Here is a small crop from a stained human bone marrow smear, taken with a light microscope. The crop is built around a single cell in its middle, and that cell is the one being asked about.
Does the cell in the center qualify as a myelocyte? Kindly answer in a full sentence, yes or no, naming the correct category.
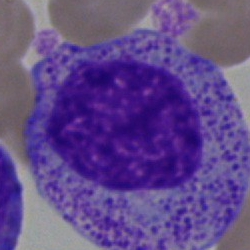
No, in this crop the middle cell is a promyelocyte, not a myelocyte.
